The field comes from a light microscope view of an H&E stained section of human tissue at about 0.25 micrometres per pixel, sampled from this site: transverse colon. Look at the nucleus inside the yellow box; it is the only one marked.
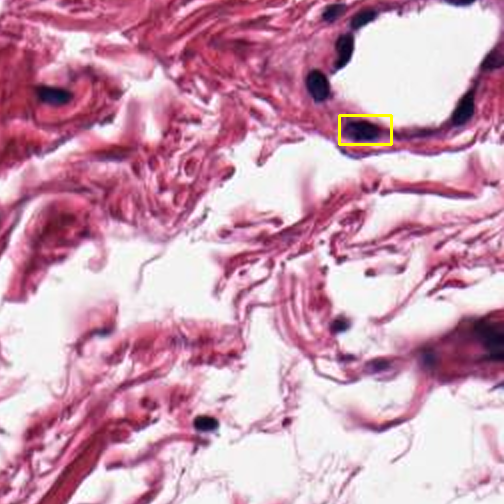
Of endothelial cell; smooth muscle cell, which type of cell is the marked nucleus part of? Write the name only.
endothelial cell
